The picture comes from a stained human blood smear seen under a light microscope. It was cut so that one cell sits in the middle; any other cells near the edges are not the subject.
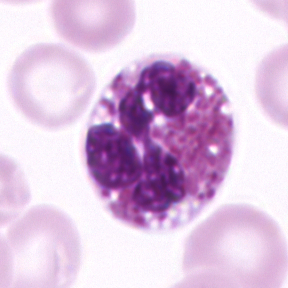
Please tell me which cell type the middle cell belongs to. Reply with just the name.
eosinophil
